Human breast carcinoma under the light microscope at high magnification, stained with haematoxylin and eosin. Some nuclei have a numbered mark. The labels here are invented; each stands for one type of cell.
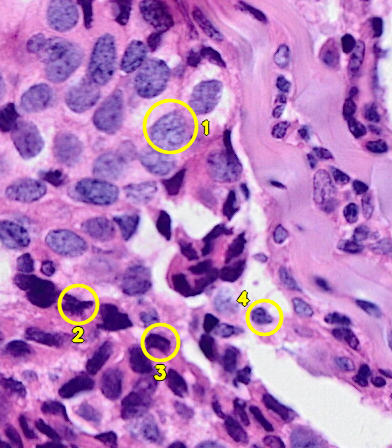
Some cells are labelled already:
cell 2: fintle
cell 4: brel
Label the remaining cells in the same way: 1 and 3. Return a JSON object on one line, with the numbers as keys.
{"1": "fintle", "3": "fintle"}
